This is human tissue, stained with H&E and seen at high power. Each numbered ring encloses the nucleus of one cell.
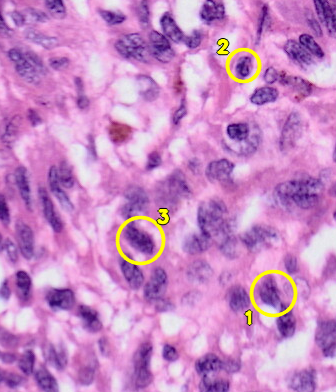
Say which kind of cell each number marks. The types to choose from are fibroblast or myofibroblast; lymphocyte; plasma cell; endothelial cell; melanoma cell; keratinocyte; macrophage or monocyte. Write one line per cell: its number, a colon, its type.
1: melanoma cell
2: lymphocyte
3: melanoma cell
